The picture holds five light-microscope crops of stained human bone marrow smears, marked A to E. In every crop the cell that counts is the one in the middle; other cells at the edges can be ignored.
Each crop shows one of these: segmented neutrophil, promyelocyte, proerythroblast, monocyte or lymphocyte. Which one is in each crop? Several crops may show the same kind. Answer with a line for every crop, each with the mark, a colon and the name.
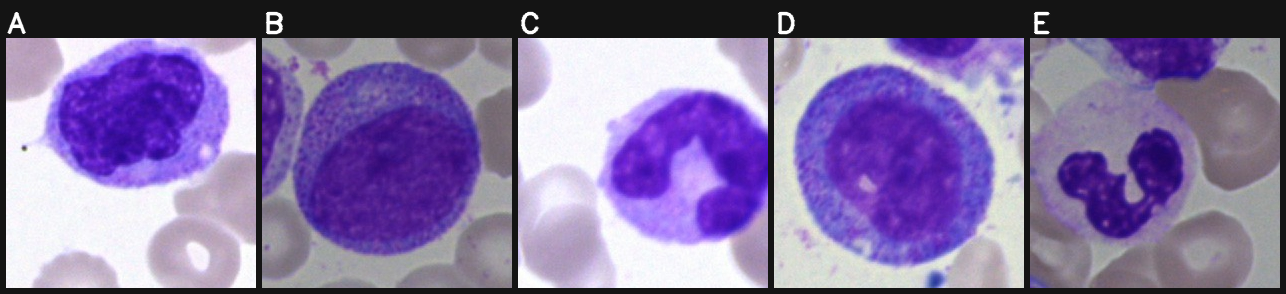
A: monocyte
B: promyelocyte
C: monocyte
D: promyelocyte
E: segmented neutrophil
